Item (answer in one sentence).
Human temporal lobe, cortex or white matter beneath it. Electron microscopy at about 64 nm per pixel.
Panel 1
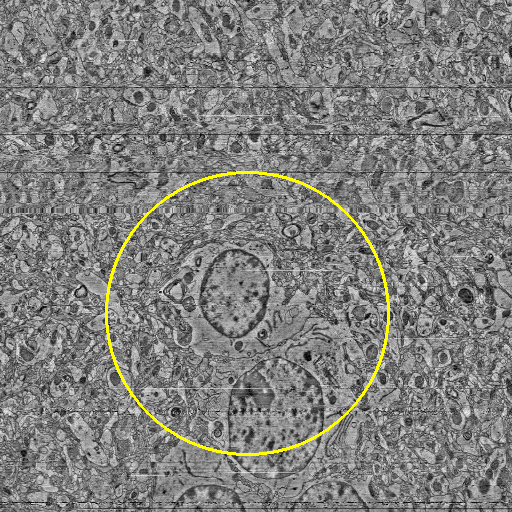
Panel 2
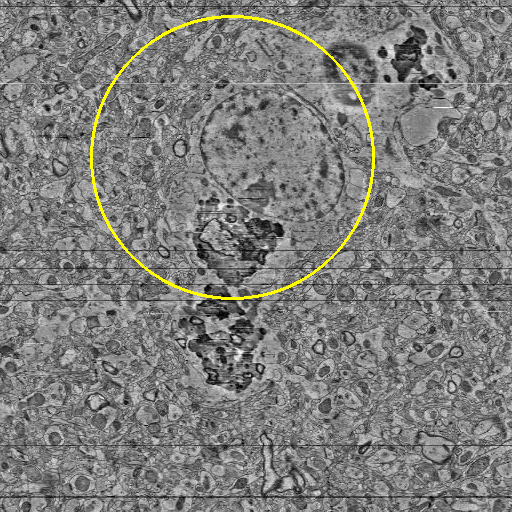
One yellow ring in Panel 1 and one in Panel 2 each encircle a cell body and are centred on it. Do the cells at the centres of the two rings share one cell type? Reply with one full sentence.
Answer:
Yes, Panel 1 and Panel 2 show cells of one type at the centres of their rings.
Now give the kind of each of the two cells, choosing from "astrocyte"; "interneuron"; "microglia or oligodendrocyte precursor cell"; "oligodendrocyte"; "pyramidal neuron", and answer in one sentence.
In each picture the ringed cell is an astrocyte.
